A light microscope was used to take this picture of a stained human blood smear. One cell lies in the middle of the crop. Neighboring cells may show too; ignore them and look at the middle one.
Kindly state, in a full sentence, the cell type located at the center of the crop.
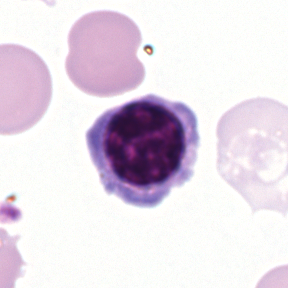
The middle cell in this particular crop is an erythroblast.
